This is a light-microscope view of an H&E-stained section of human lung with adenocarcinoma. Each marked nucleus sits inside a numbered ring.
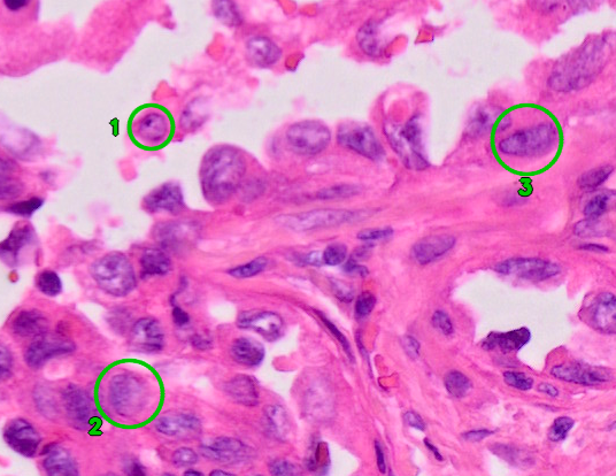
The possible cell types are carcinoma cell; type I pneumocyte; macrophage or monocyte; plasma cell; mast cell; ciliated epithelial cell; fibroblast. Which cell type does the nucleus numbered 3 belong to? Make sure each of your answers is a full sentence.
The cell that is numbered 3 is a carcinoma cell.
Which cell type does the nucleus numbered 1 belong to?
The cell whose nucleus carries the number 1 is a macrophage or monocyte.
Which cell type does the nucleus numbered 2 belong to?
Cell 2 in the field of view is a carcinoma cell.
